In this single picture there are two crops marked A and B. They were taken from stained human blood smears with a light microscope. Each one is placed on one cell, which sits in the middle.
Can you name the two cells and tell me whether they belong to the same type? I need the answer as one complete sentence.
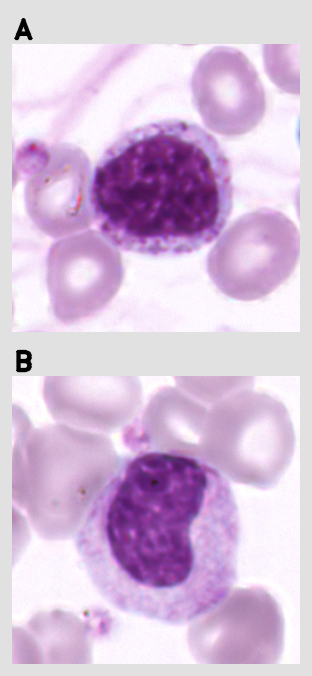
Yes, the middle cells in the two crops are metamyelocytes.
